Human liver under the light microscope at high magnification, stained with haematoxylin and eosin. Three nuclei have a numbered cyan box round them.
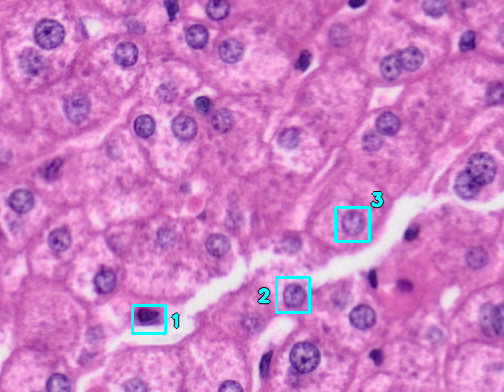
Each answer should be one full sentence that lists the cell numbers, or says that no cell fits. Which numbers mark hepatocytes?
In short, the numbered cells 2 and 3 are hepatocytes.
